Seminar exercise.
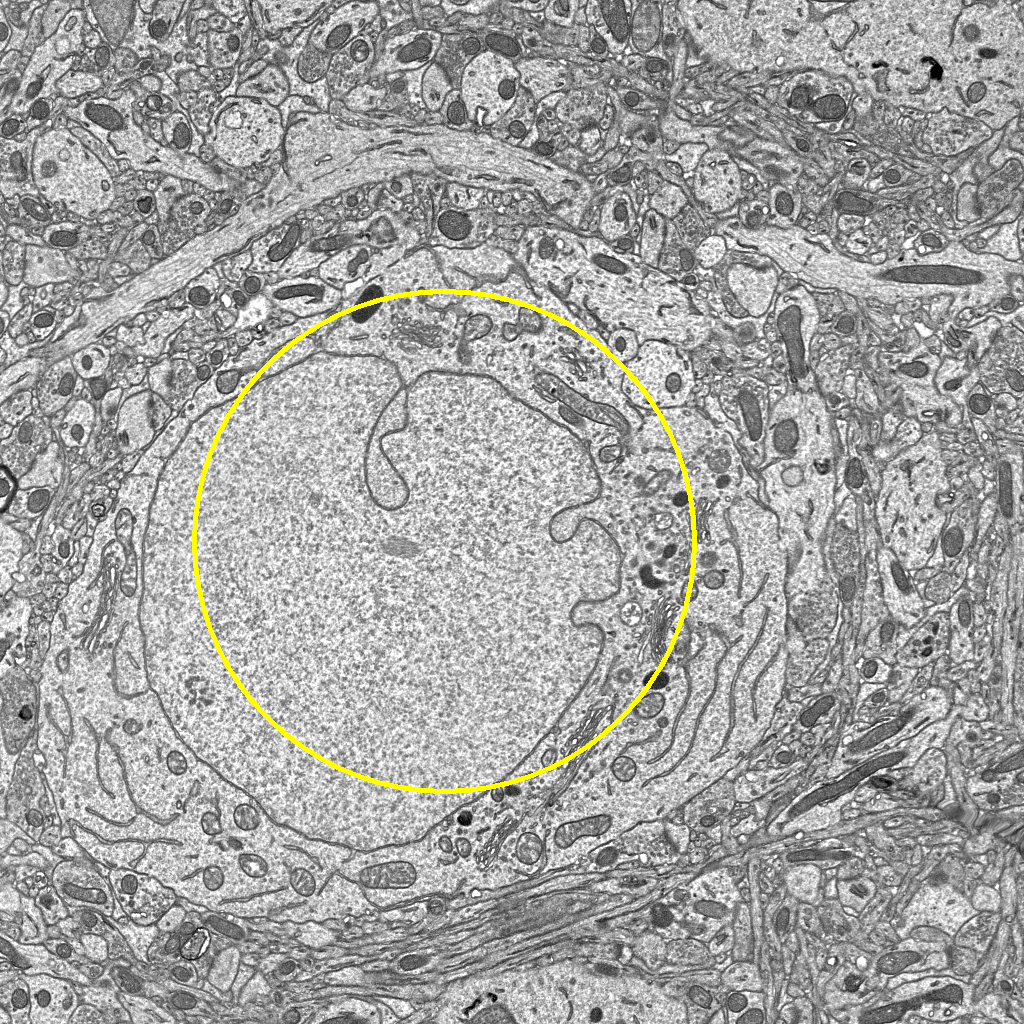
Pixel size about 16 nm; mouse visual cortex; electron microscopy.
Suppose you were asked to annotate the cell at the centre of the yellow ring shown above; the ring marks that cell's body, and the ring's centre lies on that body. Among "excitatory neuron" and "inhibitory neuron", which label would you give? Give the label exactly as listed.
inhibitory neuron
